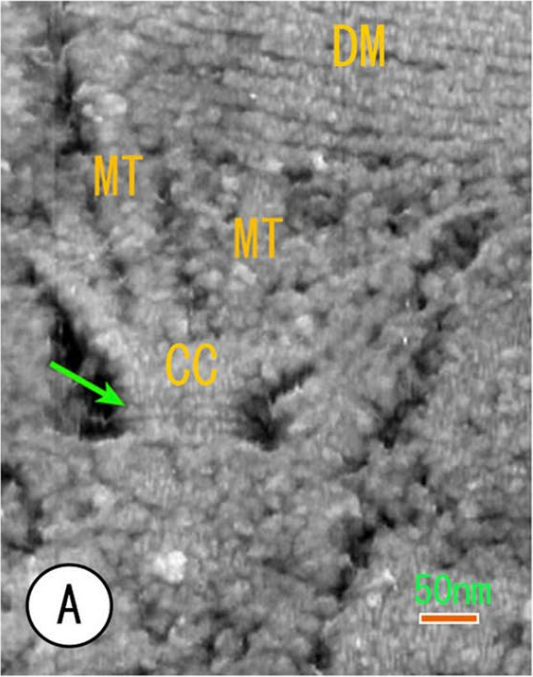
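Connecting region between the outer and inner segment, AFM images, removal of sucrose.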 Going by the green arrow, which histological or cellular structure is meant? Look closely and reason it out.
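Ciliary necklaces. The arrow points to fine, regularly spaced transverse striations on the surface of a narrow stalk. The striations lie at the base of the stalk, below the longitudinal rod-like structures.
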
